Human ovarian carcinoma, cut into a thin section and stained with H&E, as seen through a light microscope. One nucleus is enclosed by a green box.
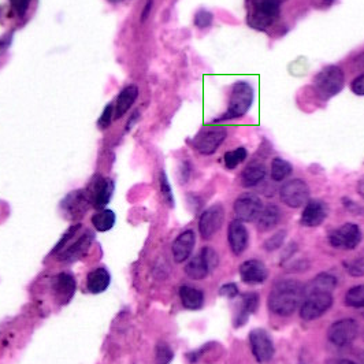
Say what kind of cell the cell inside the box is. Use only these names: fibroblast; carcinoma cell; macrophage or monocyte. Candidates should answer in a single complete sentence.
In the tissue under study, the cell inside the box is a macrophage or monocyte.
